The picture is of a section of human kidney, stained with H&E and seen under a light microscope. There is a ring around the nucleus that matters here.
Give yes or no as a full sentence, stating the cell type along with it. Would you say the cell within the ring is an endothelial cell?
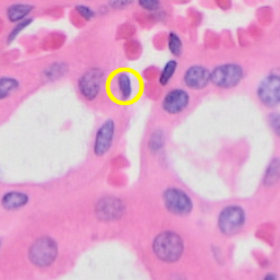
Yes, within this tissue section, the cell within the ring is an endothelial cell.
